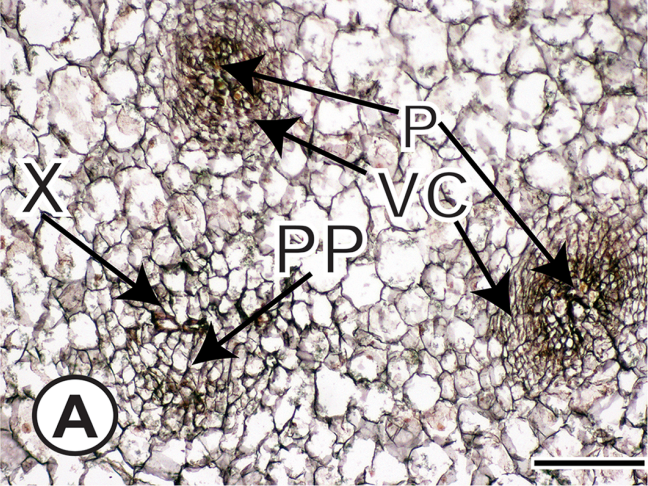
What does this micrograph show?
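The proliferating cells are much smaller and more tightly packed than the big, pale polygonal cells around them. Two further rounded clusters show mature vascular bundles, each with a dark central region of phloem ringed by flattened, radially lined-up cambial cells. Everything else is filled with large, clear, loosely arranged parenchyma cells.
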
